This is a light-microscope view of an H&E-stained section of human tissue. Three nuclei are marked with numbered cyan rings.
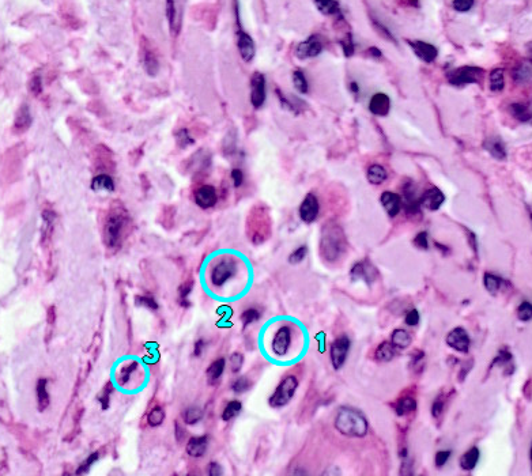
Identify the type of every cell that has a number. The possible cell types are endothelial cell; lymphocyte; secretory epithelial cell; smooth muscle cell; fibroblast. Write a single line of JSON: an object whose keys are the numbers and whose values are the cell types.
{"1": "lymphocyte", "2": "lymphocyte", "3": "fibroblast"}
